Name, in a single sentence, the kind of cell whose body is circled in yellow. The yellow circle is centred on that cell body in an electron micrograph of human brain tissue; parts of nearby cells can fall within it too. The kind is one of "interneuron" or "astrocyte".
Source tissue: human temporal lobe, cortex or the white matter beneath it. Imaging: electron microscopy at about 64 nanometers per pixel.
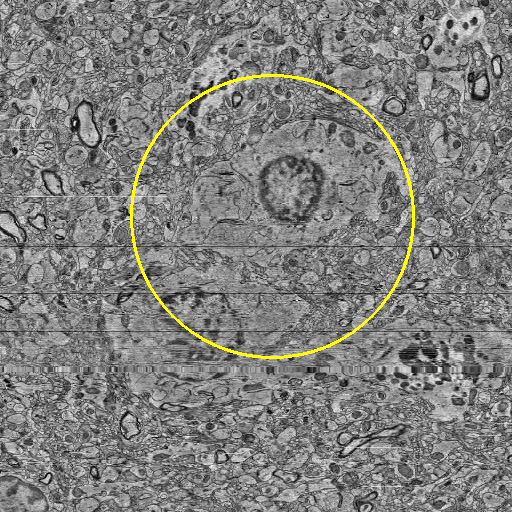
The circled cell body belongs to an astrocyte.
